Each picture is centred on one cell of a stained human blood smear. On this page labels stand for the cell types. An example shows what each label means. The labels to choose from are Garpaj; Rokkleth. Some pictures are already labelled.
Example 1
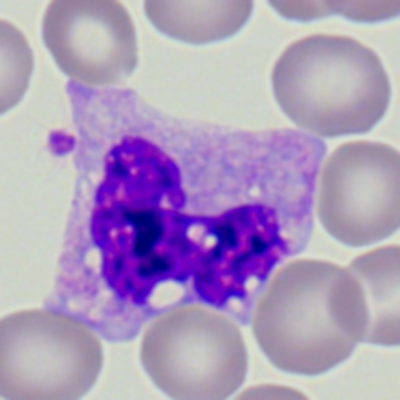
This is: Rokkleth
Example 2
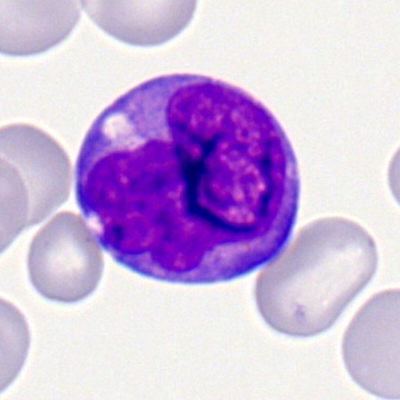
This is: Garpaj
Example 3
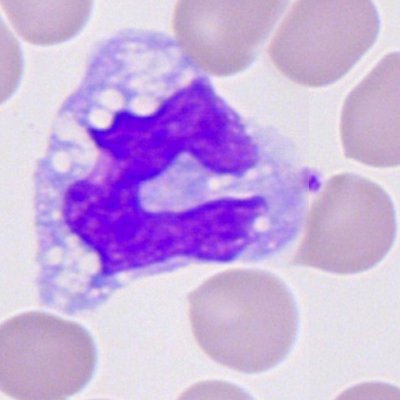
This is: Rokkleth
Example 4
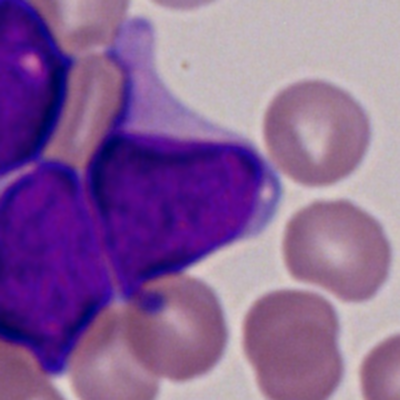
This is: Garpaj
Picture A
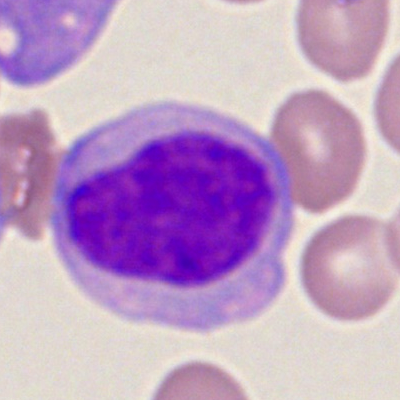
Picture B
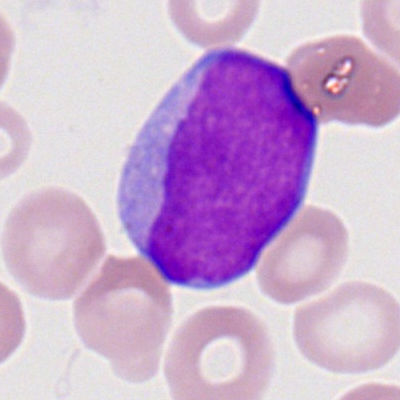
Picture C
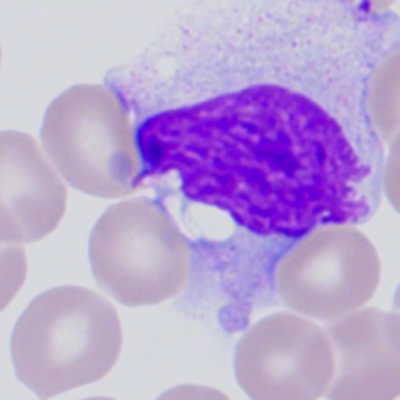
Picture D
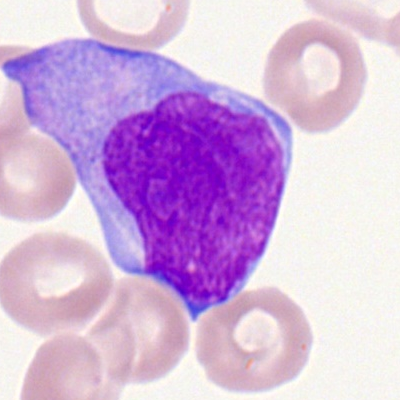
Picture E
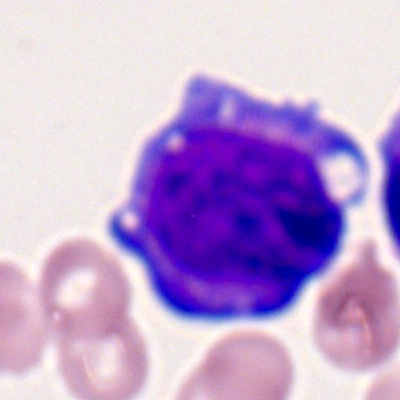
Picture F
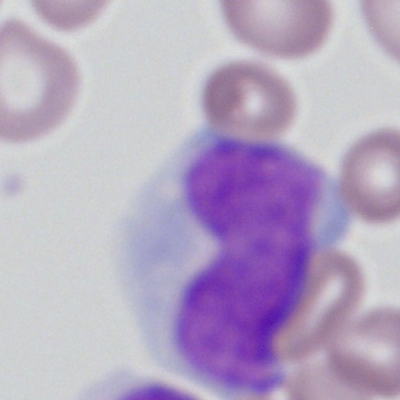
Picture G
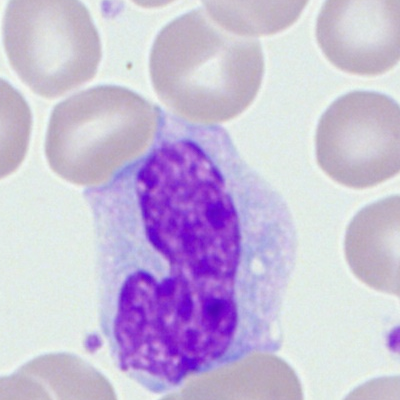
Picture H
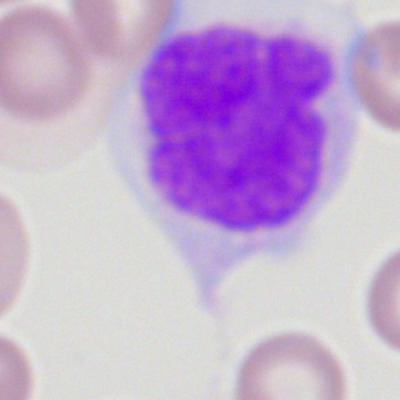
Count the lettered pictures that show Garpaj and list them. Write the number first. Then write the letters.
3, namely B, D, E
